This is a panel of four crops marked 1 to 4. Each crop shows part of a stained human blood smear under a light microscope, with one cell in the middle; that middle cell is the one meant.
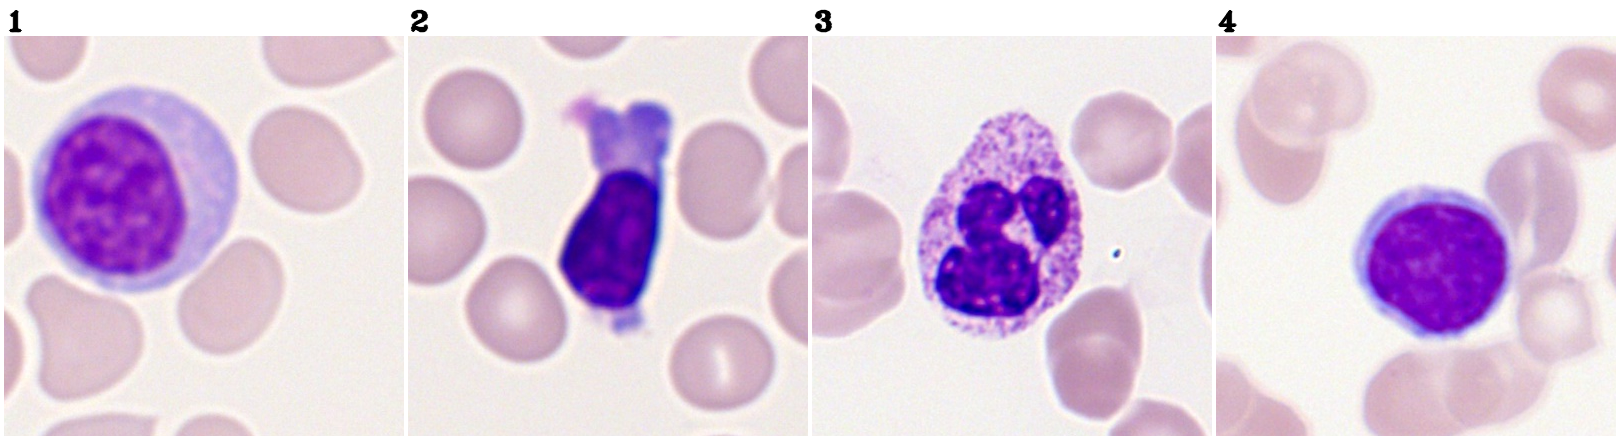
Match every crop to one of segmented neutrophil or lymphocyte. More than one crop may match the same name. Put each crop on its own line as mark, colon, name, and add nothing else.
1: lymphocyte
2: lymphocyte
3: segmented neutrophil
4: lymphocyte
